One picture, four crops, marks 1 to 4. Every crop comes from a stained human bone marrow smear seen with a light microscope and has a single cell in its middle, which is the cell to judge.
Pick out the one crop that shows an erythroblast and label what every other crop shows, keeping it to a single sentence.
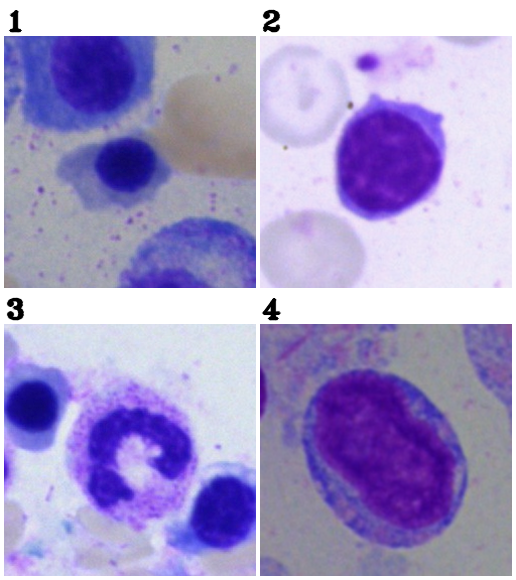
In crop 1 the cell shown is an erythroblast, and crop 2 is a lymphocyte, crop 3 is a segmented neutrophil and crop 4 is a blast.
